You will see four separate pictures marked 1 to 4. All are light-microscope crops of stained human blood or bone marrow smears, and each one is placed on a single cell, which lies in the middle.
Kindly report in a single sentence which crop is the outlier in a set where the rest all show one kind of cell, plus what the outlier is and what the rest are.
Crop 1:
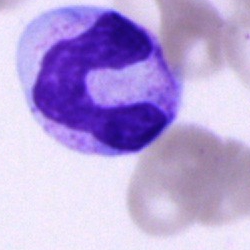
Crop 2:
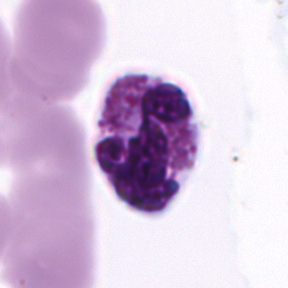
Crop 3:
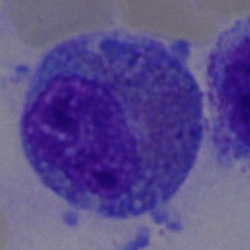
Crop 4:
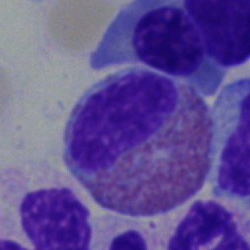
Crop 1 stands apart as a band neutrophil, whereas the remaining crops all show eosinophils.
